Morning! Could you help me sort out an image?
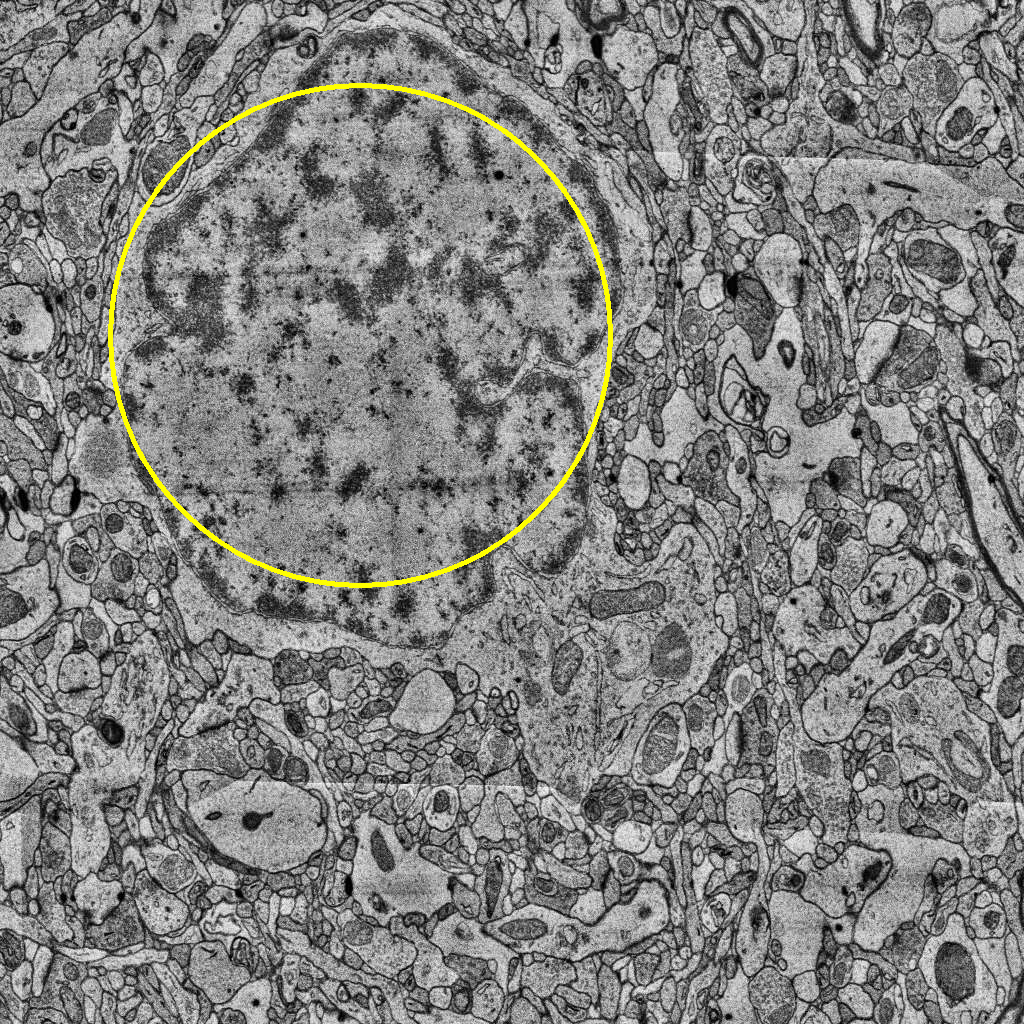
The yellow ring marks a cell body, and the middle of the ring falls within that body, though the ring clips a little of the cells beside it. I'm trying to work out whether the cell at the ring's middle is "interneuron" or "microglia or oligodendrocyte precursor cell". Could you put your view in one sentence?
The cell body at the ring's middle is that of a microglial cell or oligodendrocyte precursor cell.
